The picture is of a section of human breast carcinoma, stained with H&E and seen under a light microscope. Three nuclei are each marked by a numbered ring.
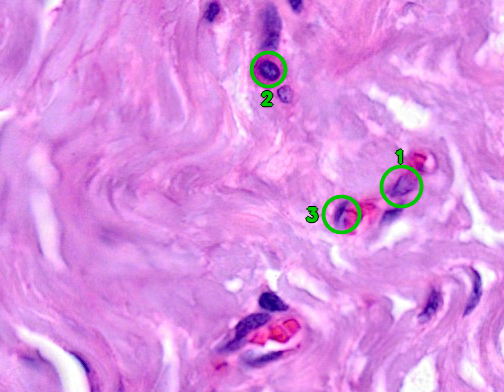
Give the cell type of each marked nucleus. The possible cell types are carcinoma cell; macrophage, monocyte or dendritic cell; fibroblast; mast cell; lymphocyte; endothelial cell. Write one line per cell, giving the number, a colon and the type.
1: endothelial cell
2: mast cell
3: endothelial cell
